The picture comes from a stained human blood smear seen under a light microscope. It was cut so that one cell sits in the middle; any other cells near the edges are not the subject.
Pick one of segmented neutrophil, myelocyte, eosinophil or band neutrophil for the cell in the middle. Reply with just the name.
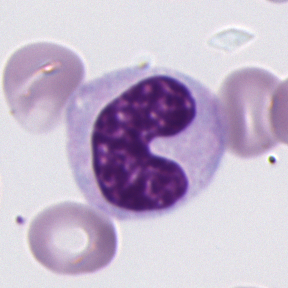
band neutrophil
